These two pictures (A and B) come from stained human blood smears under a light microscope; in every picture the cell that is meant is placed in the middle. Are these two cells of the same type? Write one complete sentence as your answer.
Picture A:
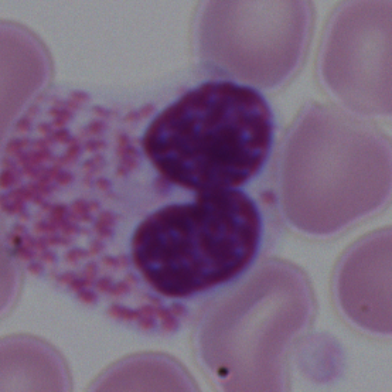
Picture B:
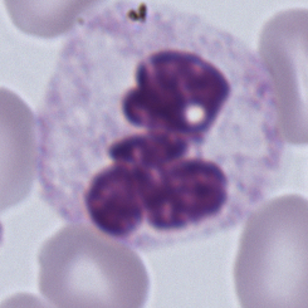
No, picture A shows an eosinophil and picture B shows a segmented neutrophil.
